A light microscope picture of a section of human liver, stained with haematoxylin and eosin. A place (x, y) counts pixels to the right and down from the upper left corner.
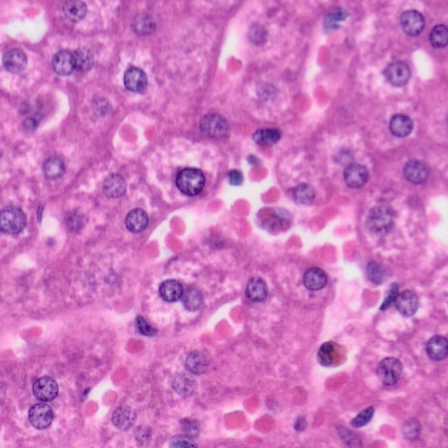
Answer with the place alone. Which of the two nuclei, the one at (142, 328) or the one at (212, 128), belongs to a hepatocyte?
(212, 128)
